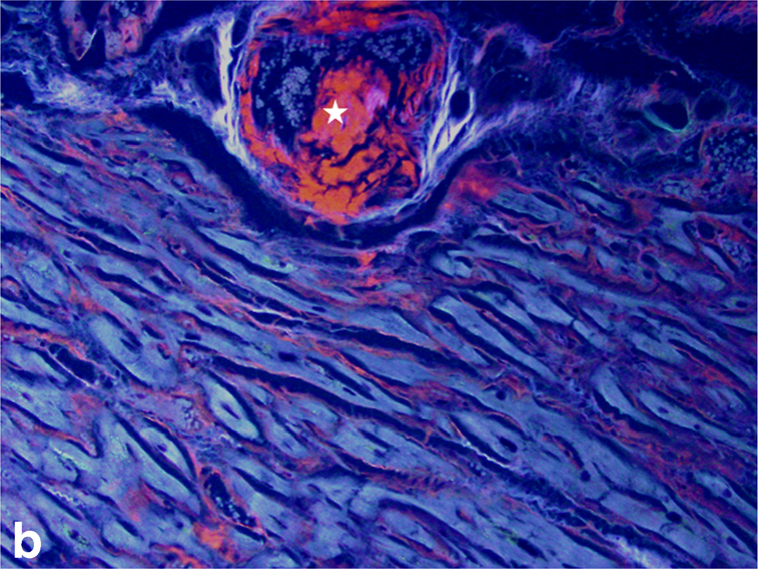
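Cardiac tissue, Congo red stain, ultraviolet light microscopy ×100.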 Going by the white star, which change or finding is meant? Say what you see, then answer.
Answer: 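Vascular involvement. The star lies in a round vessel-like structure at the top of the field. The vessel contents glow orange-red against the blue-violet background.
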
